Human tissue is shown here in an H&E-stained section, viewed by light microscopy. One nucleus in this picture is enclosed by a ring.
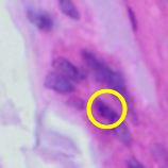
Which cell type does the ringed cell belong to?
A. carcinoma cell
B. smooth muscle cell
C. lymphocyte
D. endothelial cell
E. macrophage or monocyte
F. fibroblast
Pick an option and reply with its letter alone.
B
